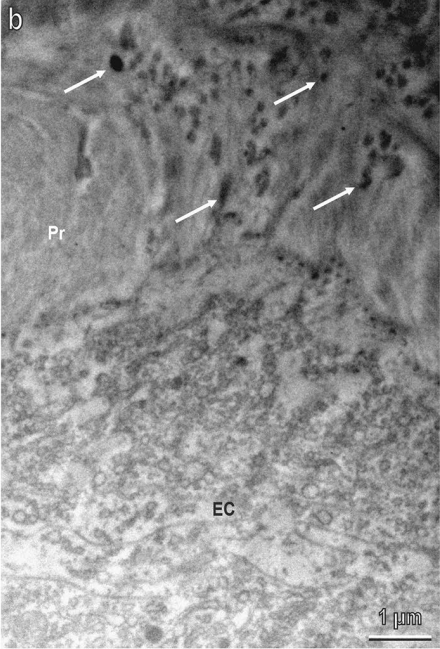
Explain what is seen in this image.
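At higher magnification, the lower half shows the cytoplasm of epithelial cells packed with small membrane-bound vesicles and membranous profiles. Along the border and within the overlying matrix there are many irregular, very dark granules, some arranged in short streaks. White arrows point to these dark granules as they lie in the fibrous material, suggesting material moving from the cells into the cuticle.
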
